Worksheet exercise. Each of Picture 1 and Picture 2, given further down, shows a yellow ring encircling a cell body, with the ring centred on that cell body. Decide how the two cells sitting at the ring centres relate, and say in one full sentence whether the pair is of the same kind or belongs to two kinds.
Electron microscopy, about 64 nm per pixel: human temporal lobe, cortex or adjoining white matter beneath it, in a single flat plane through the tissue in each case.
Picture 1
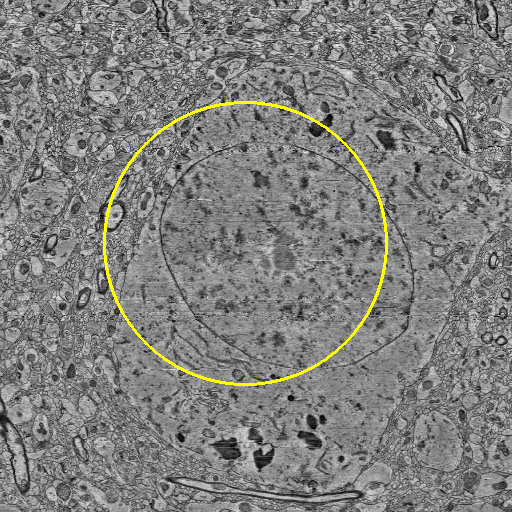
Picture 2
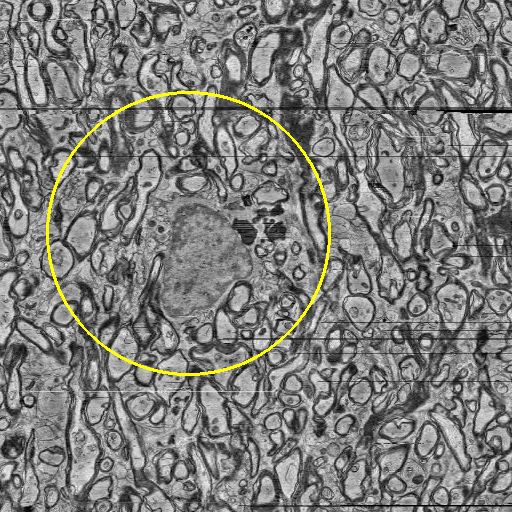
The cells at the ring centres in Picture 1 and Picture 2 belong to two kinds.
